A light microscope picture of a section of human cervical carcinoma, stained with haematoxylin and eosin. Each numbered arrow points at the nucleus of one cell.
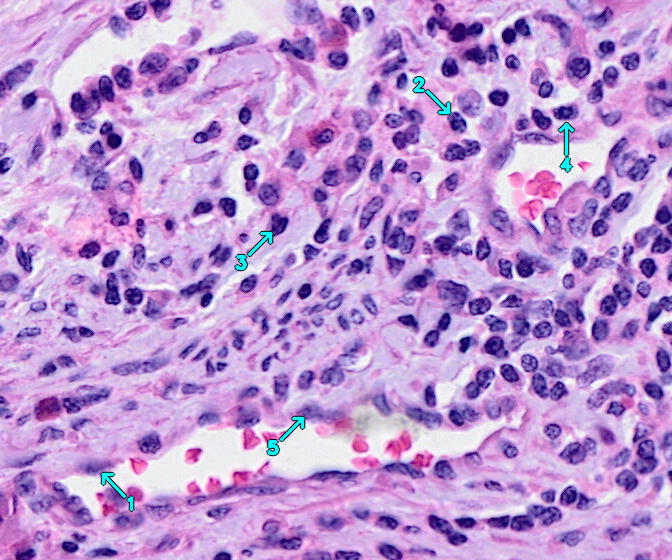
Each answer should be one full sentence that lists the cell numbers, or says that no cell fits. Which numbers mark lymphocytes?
Identification: the cells with numbers 2, 3 and 4 are lymphocytes.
